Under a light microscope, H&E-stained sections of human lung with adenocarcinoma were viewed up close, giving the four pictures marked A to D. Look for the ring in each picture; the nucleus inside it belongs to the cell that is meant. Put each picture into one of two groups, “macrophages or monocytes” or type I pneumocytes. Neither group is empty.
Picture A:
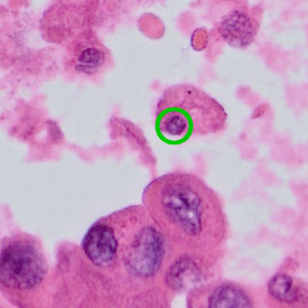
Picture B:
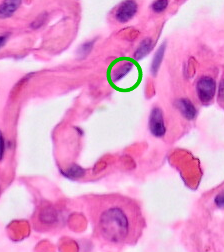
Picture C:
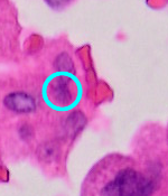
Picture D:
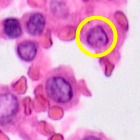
A: macrophage or monocyte
B: type I pneumocyte
C: macrophage or monocyte
D: macrophage or monocyte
